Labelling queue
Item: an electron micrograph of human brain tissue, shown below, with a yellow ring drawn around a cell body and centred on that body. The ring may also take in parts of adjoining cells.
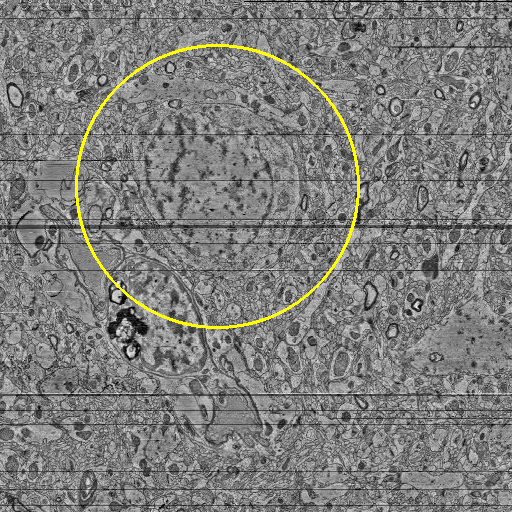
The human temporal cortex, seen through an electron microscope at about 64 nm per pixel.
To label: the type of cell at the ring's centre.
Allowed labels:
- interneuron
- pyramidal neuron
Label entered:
interneuron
